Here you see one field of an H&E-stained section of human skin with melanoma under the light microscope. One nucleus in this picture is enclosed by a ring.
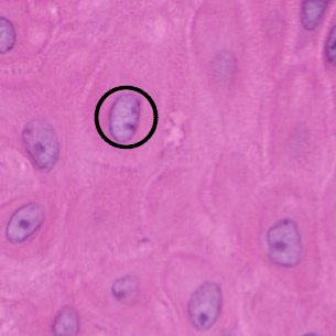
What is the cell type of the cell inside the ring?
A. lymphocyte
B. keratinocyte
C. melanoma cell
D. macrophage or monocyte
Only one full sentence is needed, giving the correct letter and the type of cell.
Among the choices, option B is correct, the cell inside the ring being a keratinocyte.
